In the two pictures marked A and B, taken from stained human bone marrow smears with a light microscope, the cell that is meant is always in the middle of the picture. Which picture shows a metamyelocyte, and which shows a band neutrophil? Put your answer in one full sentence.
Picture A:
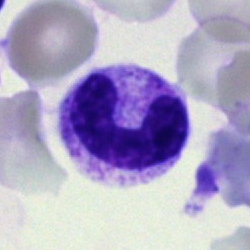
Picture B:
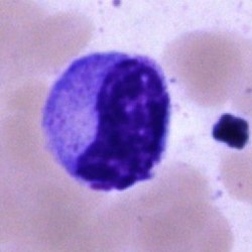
It is picture A that shows a band neutrophil, and picture B that shows a metamyelocyte.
